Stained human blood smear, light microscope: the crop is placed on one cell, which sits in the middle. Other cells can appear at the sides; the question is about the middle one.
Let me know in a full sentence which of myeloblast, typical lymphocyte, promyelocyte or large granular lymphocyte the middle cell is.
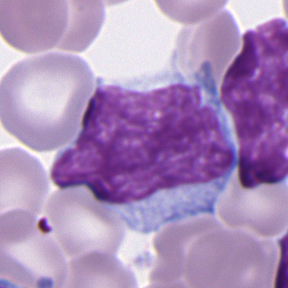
Present in the middle of the crop is a typical lymphocyte.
